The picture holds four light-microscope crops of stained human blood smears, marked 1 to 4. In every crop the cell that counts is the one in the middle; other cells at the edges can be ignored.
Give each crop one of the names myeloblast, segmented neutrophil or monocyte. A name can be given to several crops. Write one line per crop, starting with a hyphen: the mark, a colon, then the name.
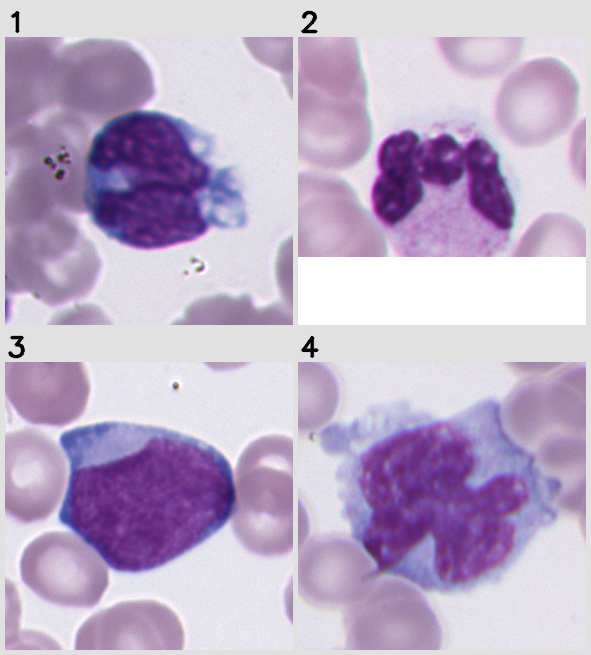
- 1: monocyte
- 2: segmented neutrophil
- 3: myeloblast
- 4: monocyte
